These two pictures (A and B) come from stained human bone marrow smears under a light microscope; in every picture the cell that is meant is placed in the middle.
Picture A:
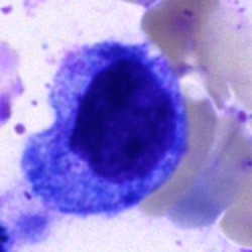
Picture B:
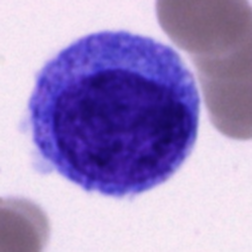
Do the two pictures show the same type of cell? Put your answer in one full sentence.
No; the cell in picture A is a promyelocyte, while the one in picture B is a blast.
